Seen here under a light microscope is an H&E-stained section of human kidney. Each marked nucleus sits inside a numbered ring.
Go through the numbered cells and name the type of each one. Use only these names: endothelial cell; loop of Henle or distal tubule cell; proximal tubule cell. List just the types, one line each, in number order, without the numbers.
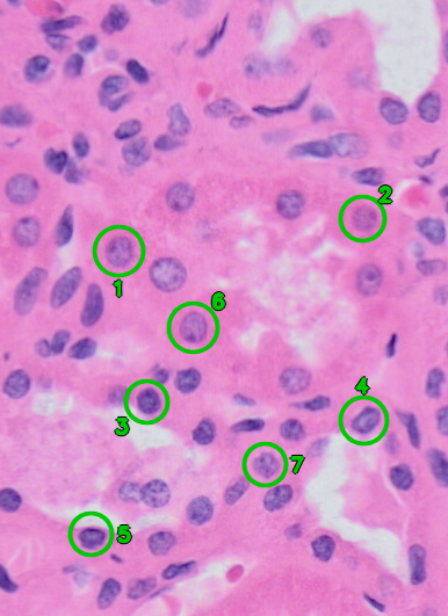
proximal tubule cell
proximal tubule cell
loop of Henle or distal tubule cell
loop of Henle or distal tubule cell
loop of Henle or distal tubule cell
proximal tubule cell
loop of Henle or distal tubule cell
